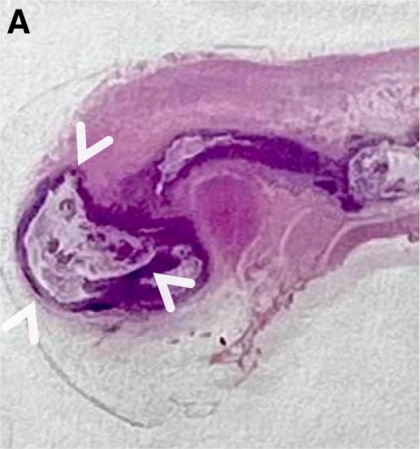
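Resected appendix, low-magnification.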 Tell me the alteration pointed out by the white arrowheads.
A: Herniation.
